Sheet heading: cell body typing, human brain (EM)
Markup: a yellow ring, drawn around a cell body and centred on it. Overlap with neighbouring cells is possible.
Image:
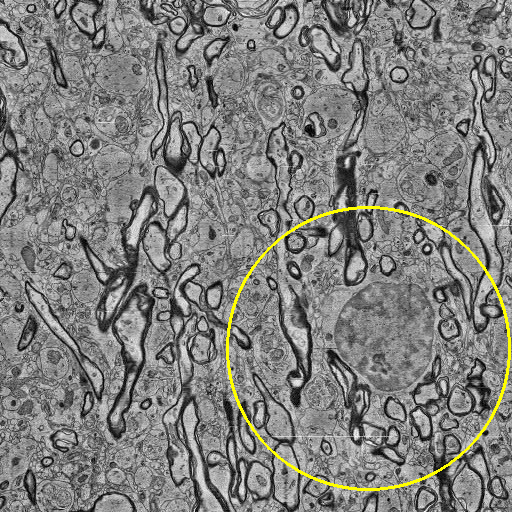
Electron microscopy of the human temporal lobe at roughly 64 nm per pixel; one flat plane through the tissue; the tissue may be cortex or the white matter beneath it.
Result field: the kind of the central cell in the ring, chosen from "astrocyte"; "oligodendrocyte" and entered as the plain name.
oligodendrocyte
